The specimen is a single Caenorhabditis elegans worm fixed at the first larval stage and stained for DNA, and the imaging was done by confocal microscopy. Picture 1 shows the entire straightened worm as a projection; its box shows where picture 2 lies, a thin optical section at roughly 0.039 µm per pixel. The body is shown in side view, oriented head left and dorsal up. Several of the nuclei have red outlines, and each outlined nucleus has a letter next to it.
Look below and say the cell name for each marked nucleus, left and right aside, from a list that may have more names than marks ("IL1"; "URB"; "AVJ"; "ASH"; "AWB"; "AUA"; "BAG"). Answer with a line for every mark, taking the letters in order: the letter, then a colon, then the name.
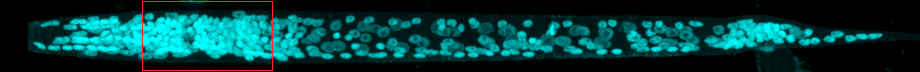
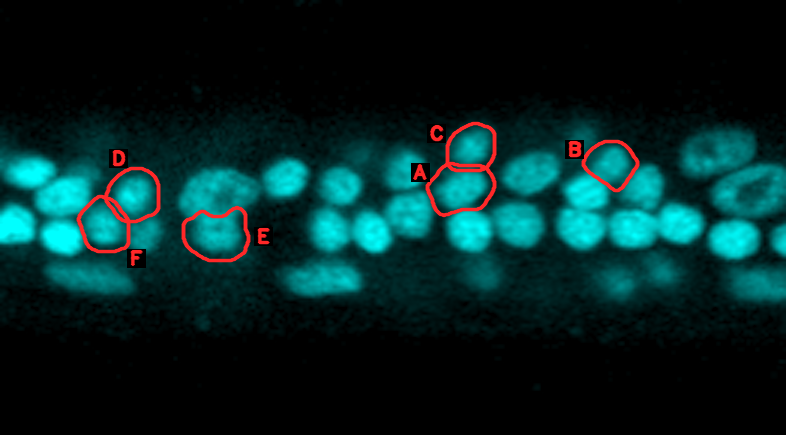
A: ASH
B: AVJ
C: AWB
D: URB
E: BAG
F: IL1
